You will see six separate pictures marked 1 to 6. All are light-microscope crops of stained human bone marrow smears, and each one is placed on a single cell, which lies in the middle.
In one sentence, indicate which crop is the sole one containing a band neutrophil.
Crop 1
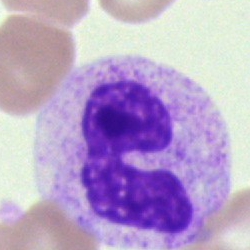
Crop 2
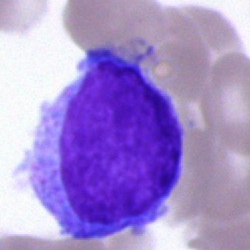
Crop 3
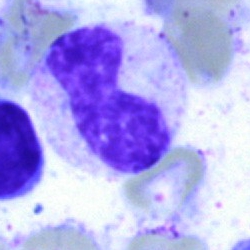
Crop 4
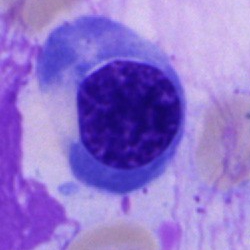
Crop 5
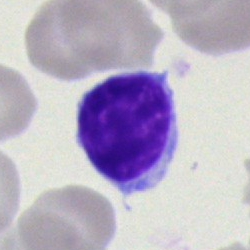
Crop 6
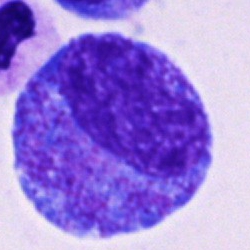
The one showing a band neutrophil is crop 3.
